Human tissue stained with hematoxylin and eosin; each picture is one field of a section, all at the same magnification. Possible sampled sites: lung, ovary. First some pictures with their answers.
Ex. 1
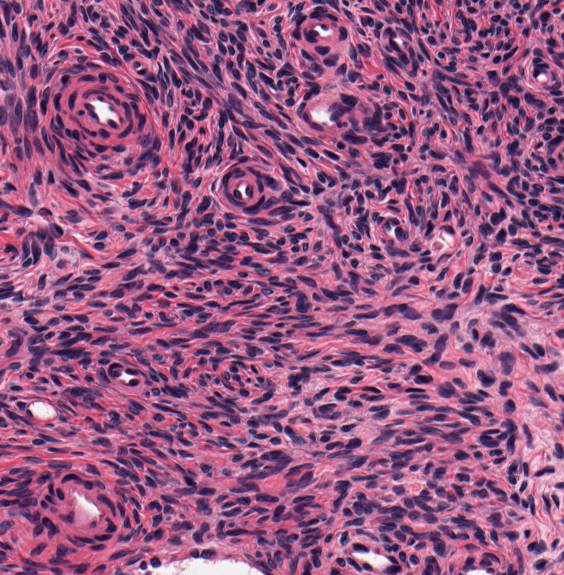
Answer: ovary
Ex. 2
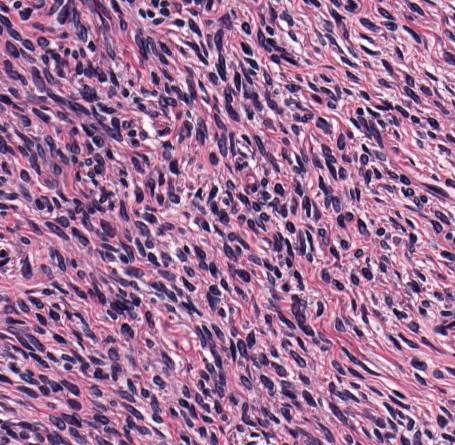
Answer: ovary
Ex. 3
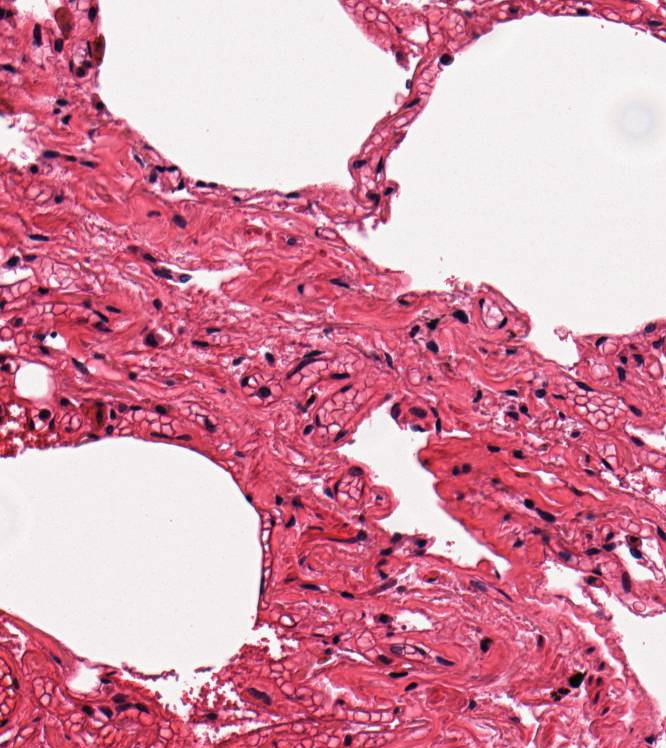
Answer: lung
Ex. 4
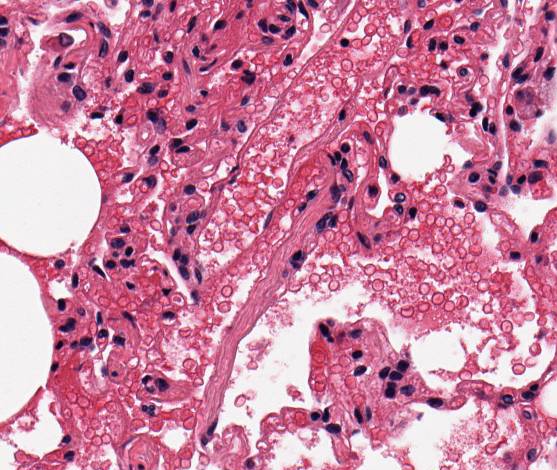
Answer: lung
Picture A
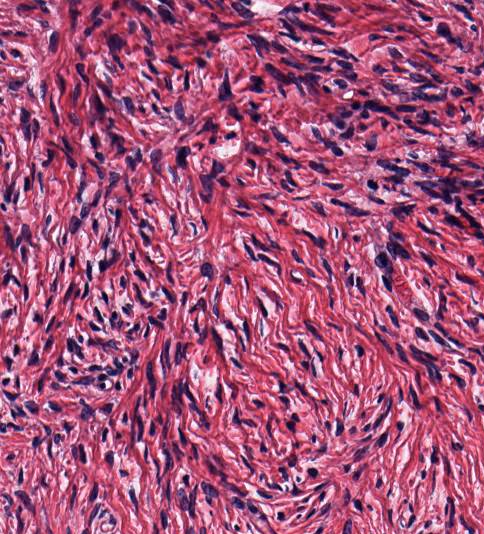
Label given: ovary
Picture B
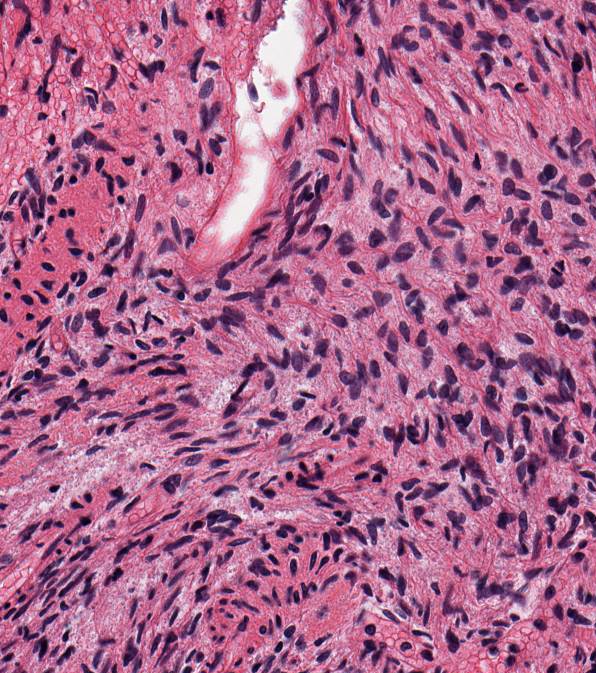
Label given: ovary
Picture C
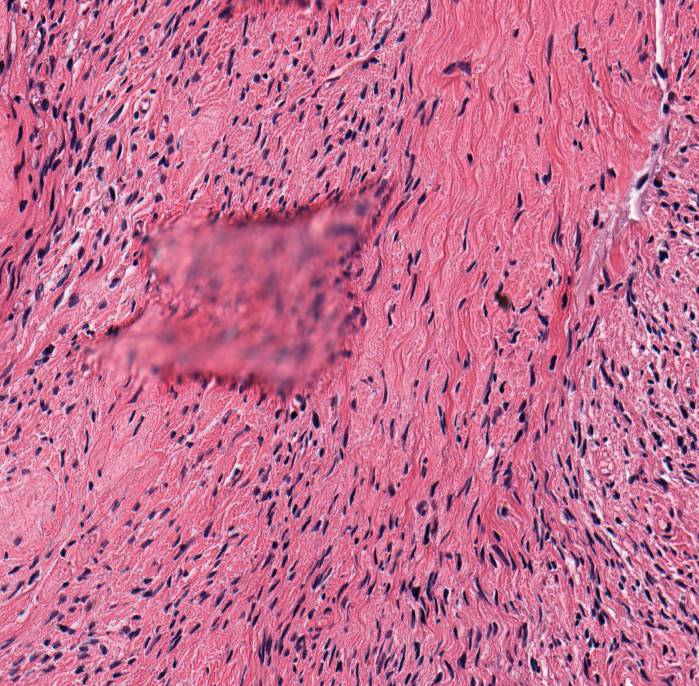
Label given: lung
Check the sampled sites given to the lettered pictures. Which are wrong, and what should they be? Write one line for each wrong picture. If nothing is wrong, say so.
C should be ovary, not lung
